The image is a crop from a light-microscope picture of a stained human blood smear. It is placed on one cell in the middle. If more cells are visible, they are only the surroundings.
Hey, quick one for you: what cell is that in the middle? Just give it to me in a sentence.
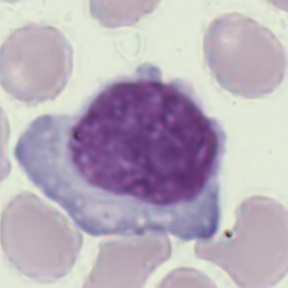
This crop's central cell is a plasma cell.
